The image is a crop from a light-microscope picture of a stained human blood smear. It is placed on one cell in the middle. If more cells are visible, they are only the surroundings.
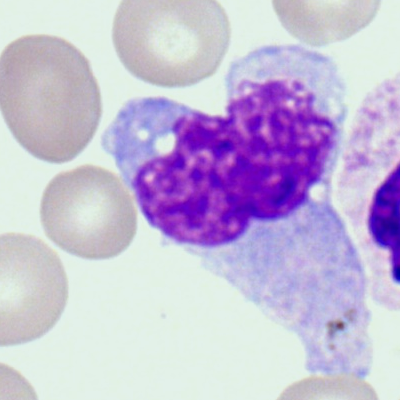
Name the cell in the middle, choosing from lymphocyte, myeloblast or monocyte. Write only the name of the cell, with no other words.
monocyte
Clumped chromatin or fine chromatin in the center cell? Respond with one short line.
Coarse clumps are absent, and the chromatin is fine throughout.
